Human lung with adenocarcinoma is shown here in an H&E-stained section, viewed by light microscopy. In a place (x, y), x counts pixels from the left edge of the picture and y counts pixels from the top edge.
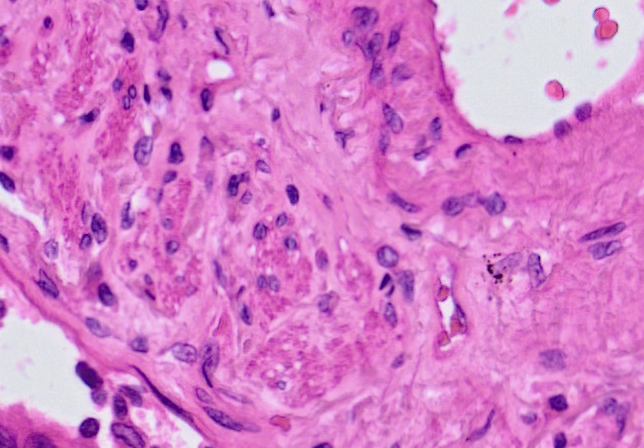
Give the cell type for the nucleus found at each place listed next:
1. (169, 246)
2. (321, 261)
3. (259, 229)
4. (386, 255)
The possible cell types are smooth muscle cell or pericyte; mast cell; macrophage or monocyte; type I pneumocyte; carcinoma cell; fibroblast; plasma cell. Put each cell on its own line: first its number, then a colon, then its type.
1: smooth muscle cell or pericyte
2: smooth muscle cell or pericyte
3: smooth muscle cell or pericyte
4: mast cell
